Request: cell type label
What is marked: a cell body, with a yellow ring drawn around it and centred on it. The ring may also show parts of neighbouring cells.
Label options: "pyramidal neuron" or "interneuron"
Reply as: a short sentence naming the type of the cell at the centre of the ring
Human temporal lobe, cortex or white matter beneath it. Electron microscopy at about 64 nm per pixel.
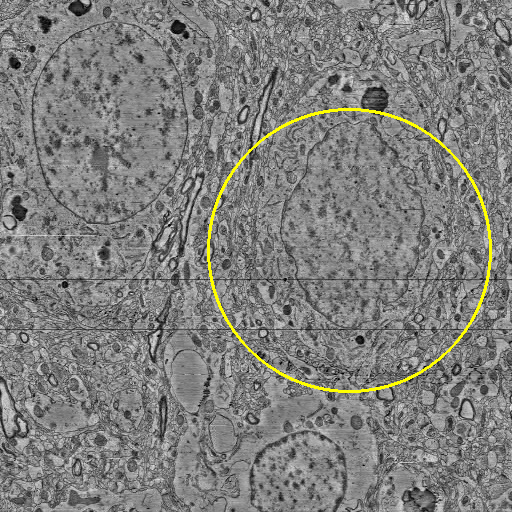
The marked cell body is that of an interneuron.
